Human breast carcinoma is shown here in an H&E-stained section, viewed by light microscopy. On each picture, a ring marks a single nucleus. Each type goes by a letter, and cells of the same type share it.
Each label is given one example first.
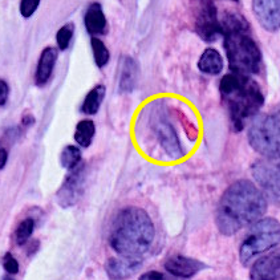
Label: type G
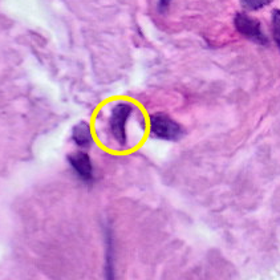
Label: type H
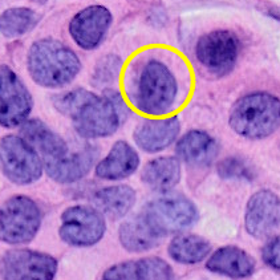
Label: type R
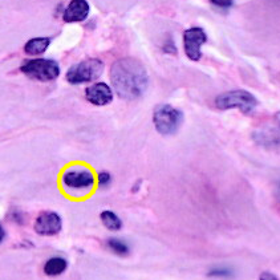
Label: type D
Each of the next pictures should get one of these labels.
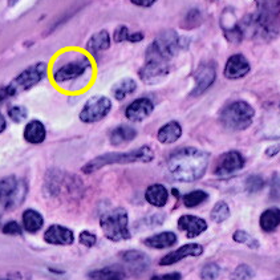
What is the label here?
type D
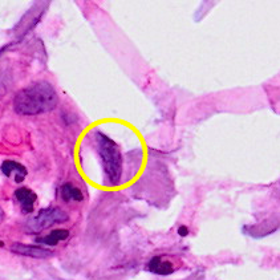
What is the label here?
type H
